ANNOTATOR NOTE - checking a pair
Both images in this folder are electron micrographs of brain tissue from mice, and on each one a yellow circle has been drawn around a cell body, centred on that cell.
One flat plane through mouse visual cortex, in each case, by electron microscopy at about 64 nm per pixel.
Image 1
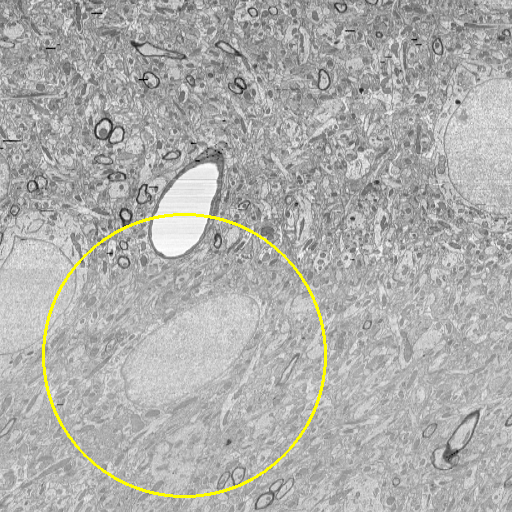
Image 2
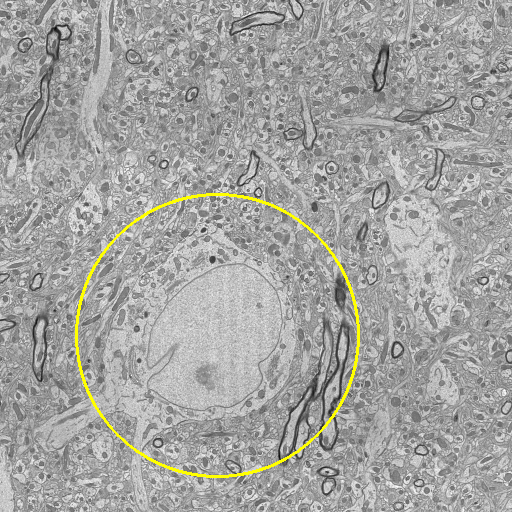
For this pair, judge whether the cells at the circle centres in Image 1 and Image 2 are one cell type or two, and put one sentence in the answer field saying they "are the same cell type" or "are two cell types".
For this pair, the cells at the circle centres in Images 1 and 2 are two cell types.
